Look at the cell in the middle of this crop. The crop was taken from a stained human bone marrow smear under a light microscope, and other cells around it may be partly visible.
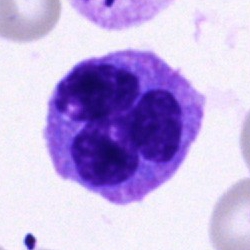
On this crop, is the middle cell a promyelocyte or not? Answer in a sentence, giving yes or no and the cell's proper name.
No, the label for the central cell is a monocyte, not a promyelocyte.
